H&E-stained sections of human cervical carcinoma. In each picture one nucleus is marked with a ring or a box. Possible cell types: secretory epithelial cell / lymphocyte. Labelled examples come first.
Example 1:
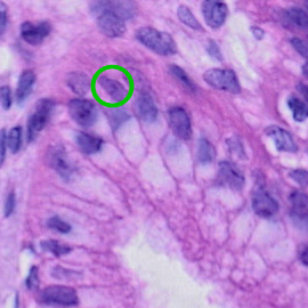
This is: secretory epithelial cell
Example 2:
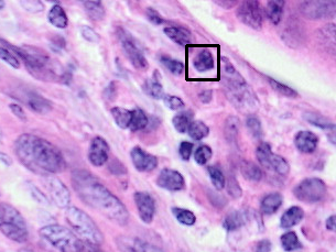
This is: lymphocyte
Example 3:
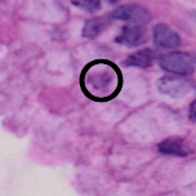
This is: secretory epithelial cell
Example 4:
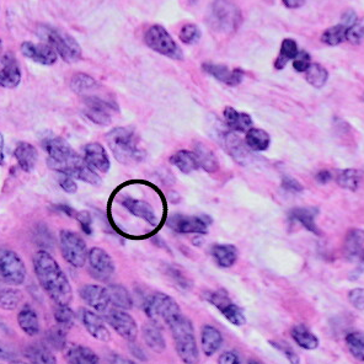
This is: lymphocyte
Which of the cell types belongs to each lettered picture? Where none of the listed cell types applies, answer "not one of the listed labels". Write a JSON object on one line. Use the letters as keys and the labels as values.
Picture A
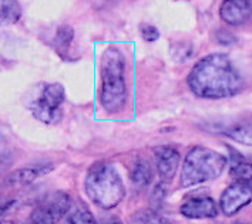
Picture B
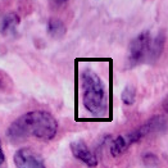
{"A": "not one of the listed labels", "B": "not one of the listed labels"}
